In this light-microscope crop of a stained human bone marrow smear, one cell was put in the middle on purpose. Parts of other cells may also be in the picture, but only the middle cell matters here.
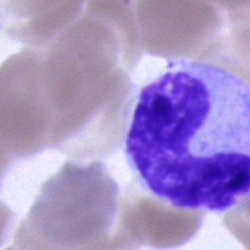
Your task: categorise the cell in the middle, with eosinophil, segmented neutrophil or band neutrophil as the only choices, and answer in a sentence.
As for the cell in the middle, it is a band neutrophil.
